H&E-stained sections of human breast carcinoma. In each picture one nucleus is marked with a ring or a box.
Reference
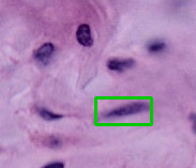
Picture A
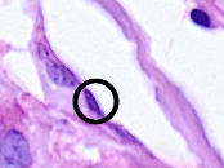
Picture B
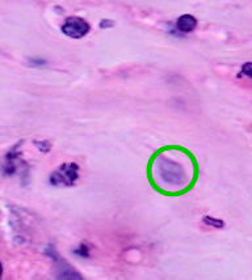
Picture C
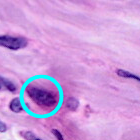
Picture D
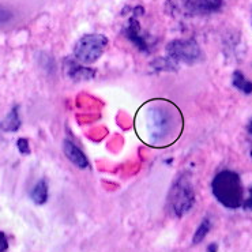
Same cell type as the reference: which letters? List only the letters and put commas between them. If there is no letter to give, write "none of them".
A, B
